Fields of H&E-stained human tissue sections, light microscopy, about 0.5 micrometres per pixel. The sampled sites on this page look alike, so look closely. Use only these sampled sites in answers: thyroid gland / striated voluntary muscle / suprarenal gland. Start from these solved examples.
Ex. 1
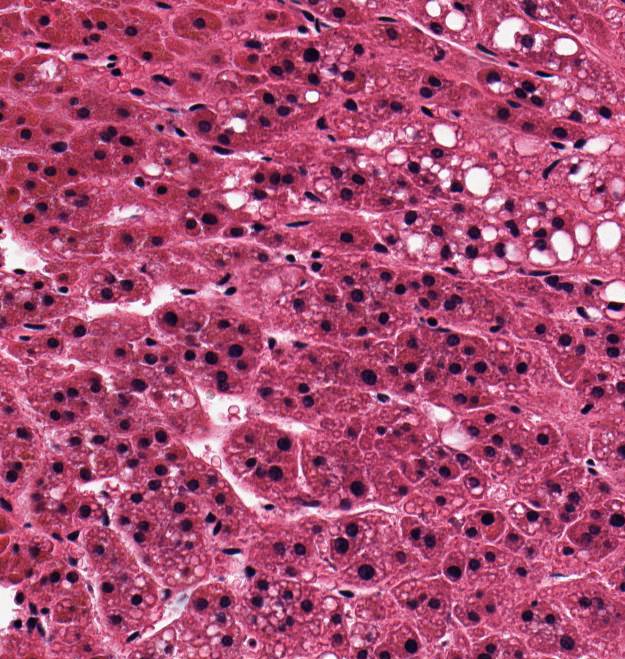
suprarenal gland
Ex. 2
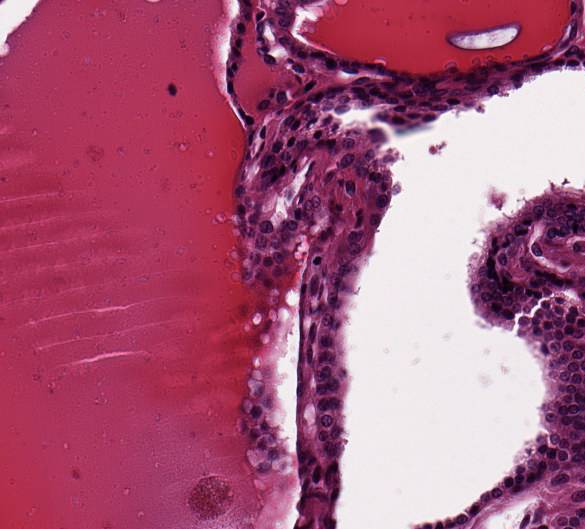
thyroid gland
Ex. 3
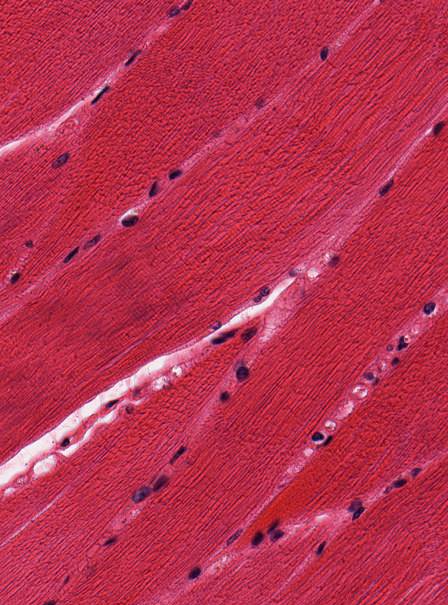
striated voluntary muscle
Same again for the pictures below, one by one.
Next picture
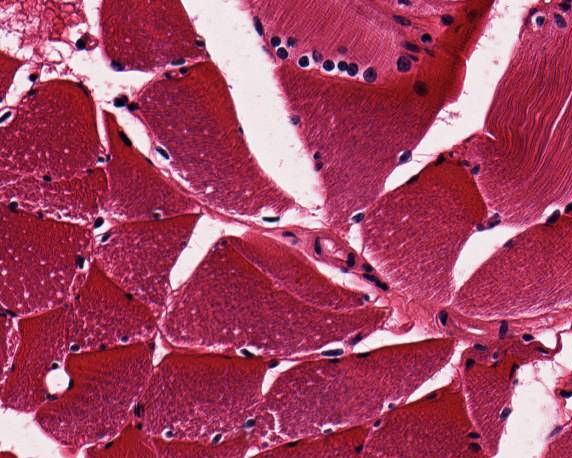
striated voluntary muscle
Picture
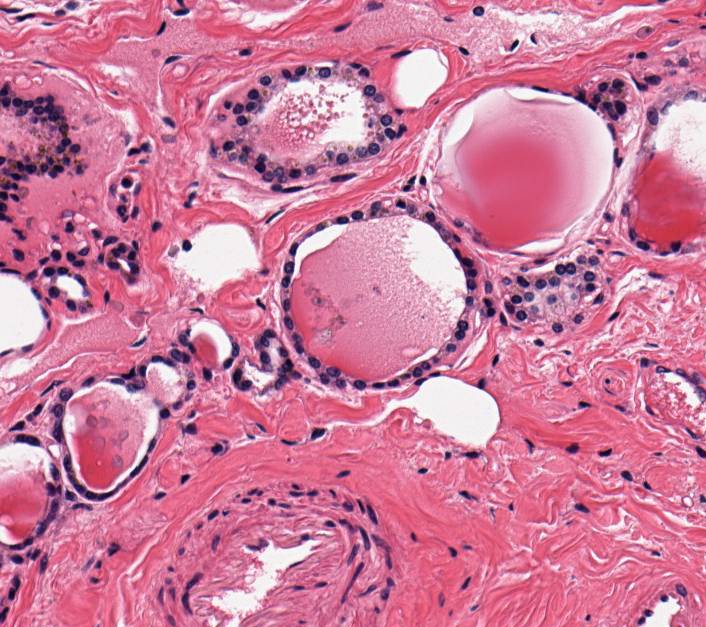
thyroid gland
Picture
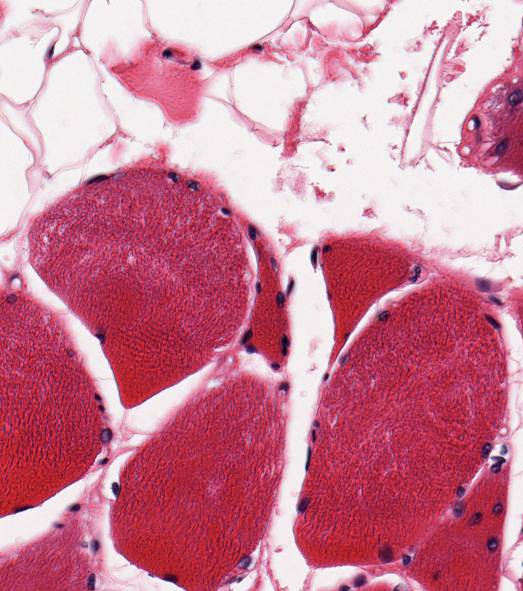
striated voluntary muscle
